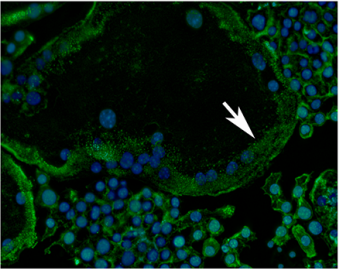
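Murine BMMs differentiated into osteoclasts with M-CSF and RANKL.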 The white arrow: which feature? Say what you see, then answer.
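The rim of a very large cell is a broad band of fine green dots rather than a sharp line. Many blue nuclei lie inside the area bounded by this band.
Answer: actin belts with "scattered" podosomes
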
